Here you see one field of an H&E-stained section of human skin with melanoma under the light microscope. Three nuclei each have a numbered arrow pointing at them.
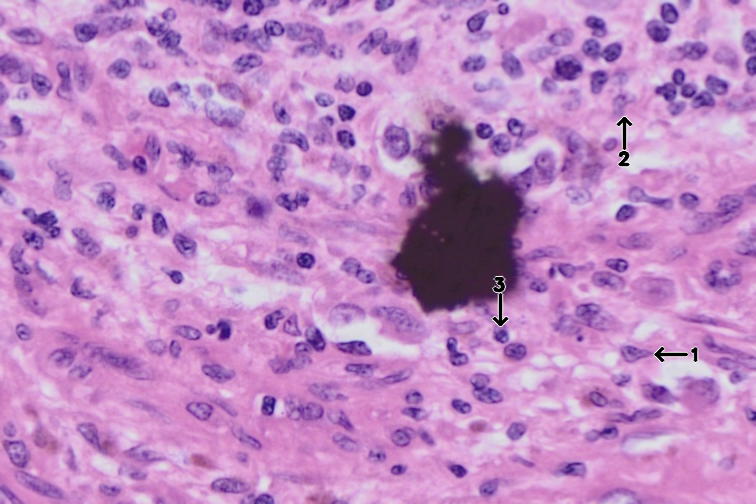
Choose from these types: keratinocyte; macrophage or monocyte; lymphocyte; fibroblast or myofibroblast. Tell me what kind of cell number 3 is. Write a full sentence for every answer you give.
The cell that goes by number 3 is a lymphocyte.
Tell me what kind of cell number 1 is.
The one numbered 1 among the marked cells is a macrophage or monocyte.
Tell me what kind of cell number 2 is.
Identified by the number 2, the cell is a macrophage or monocyte.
